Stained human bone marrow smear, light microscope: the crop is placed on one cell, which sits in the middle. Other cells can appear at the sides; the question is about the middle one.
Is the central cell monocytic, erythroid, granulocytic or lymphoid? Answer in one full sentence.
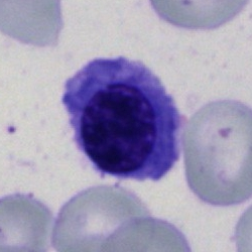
The cell at the crop's center sits within the erythroid lineage.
